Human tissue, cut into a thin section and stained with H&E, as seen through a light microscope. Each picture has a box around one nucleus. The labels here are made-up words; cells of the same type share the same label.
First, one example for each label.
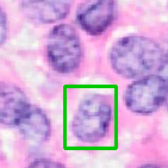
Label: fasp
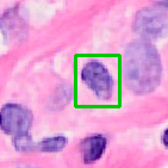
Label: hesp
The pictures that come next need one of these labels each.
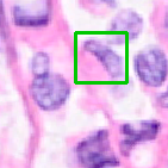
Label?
fasp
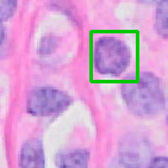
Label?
fasp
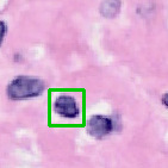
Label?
hesp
